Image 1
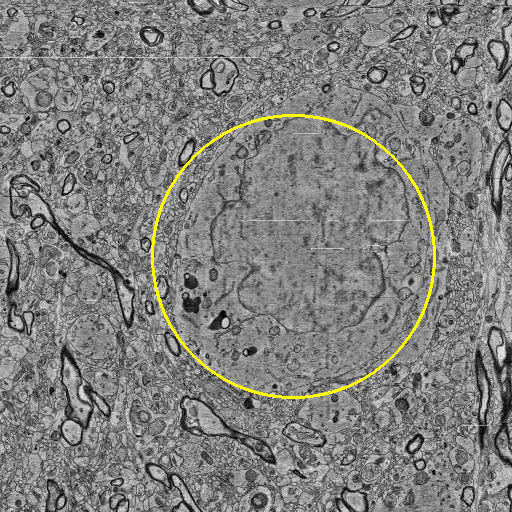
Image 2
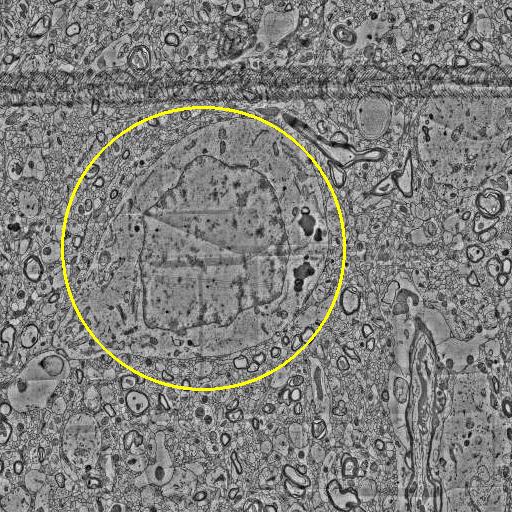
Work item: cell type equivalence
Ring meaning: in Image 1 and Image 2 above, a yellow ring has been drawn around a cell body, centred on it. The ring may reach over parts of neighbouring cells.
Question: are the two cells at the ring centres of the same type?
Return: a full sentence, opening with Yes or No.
Yes, the two centred cells are of the same type.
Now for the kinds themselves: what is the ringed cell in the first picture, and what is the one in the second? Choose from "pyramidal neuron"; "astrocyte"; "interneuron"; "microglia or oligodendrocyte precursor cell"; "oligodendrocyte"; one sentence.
The second cell is an interneuron, just as the first is.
